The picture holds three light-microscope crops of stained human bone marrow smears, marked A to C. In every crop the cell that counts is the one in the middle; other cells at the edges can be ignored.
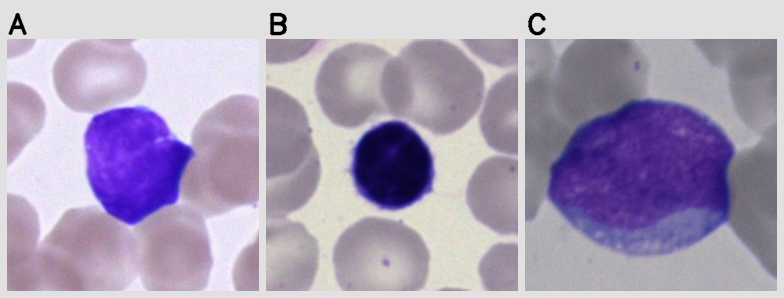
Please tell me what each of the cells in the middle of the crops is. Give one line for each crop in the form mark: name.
A: lymphocyte
B: lymphocyte
C: blast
